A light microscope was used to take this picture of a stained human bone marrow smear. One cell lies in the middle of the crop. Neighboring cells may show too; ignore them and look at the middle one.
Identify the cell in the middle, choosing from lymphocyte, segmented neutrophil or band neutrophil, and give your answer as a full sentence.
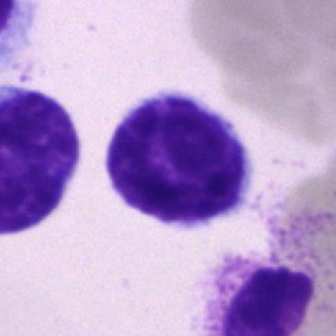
Centred in the crop is a lymphocyte.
